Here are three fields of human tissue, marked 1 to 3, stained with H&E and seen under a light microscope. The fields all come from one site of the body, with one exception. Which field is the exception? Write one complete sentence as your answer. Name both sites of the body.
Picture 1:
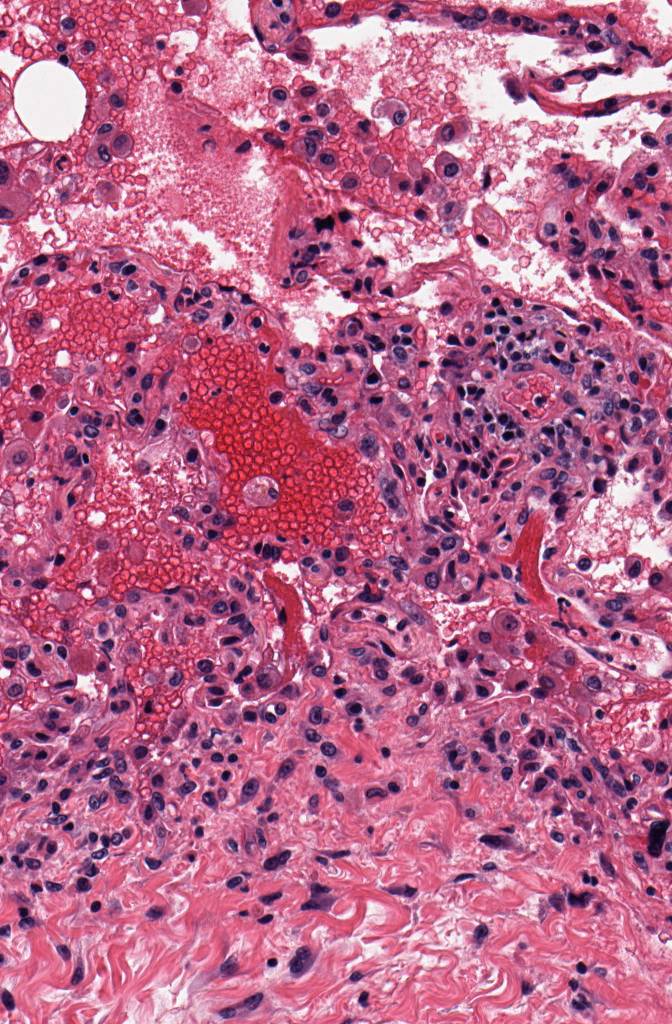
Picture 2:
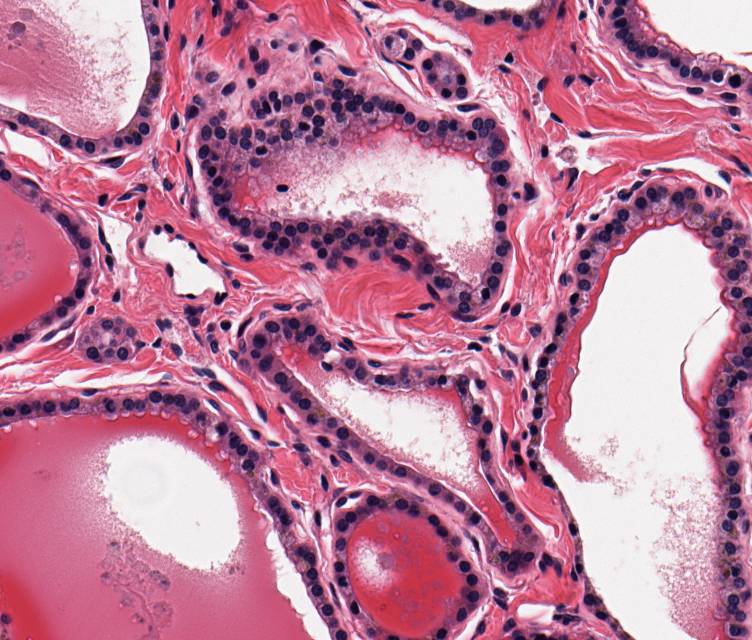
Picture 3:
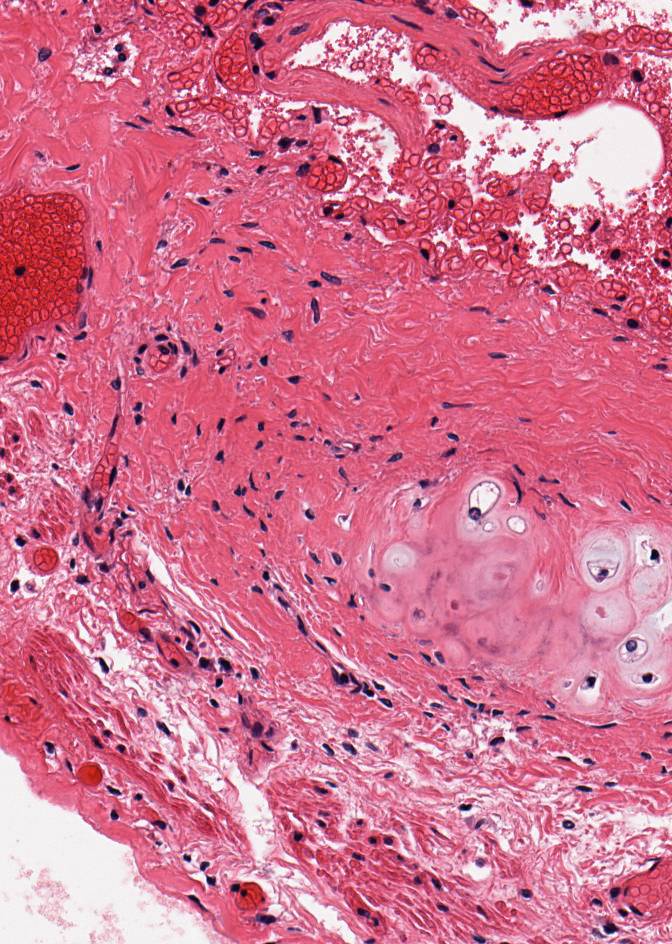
Unlike the rest, which come from the lung, picture 2 comes from the thyroid.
